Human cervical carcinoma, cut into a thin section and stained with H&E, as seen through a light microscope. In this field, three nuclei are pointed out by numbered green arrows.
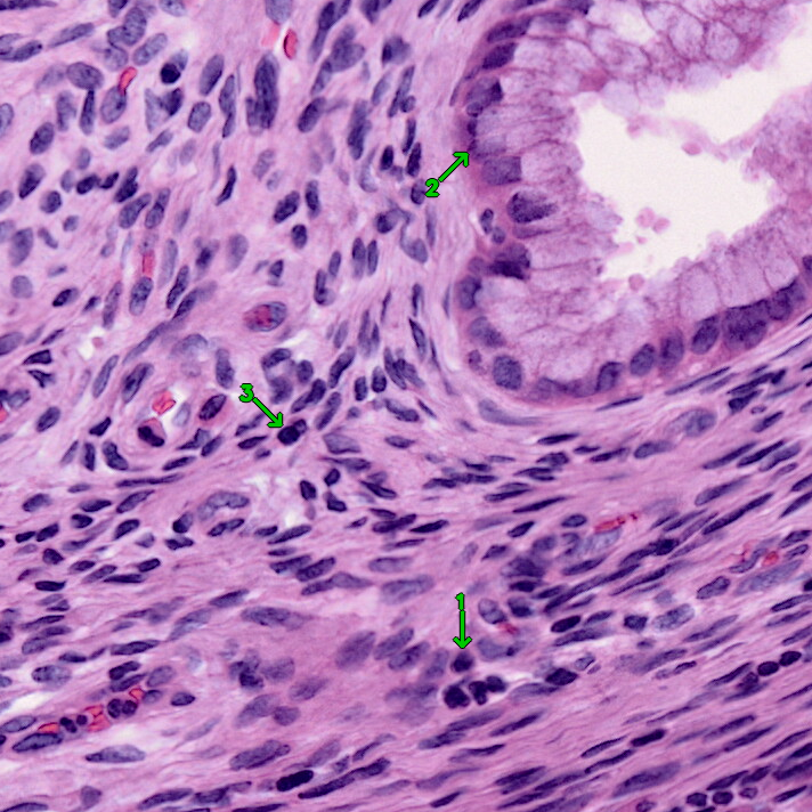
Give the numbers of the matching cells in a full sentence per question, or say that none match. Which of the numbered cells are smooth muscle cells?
Each of the numbered cells is a cell other than one of the smooth muscle cells.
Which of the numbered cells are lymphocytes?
The cells numbered 1 and 3 are identified as lymphocytes.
